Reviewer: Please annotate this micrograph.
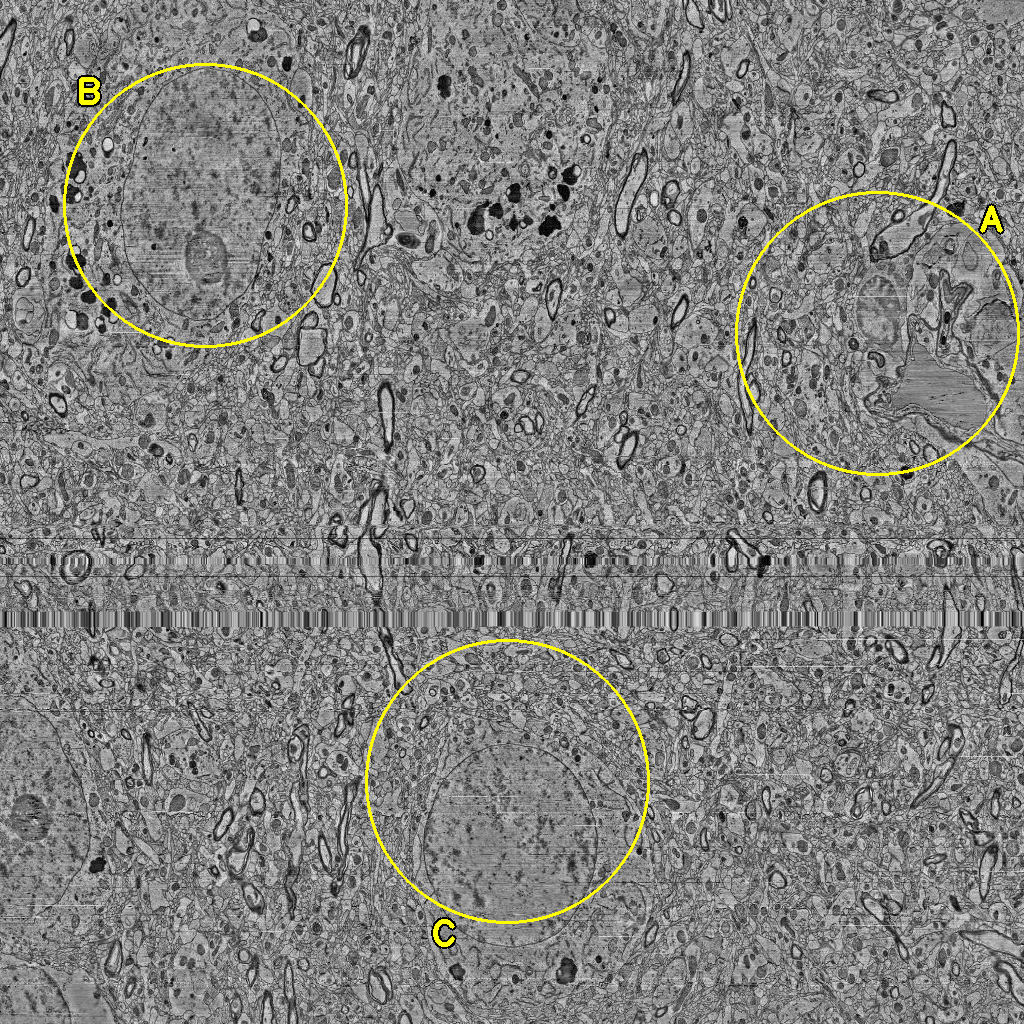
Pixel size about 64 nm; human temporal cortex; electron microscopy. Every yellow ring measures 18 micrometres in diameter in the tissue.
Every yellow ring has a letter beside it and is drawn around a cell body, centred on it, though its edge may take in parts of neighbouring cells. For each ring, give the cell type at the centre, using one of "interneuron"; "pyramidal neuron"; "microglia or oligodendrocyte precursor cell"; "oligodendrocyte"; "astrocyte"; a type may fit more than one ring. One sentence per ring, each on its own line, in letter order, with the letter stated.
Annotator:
The cell in the middle of ring A is an oligodendrocyte.
The cell in the middle of ring B is a pyramidal neuron.
The cell in the middle of ring C is a pyramidal neuron.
